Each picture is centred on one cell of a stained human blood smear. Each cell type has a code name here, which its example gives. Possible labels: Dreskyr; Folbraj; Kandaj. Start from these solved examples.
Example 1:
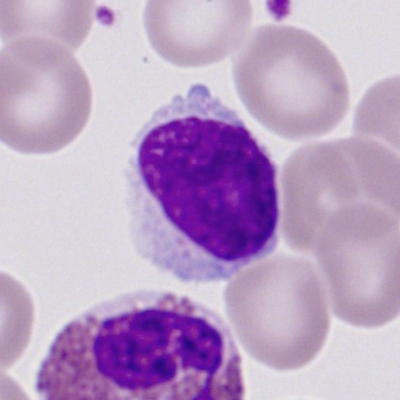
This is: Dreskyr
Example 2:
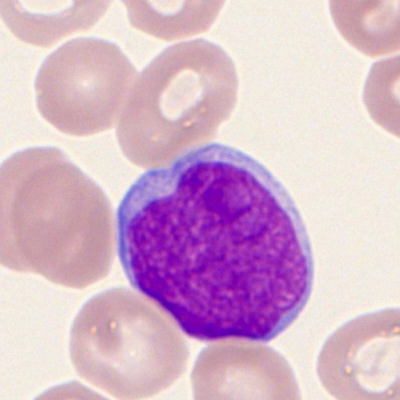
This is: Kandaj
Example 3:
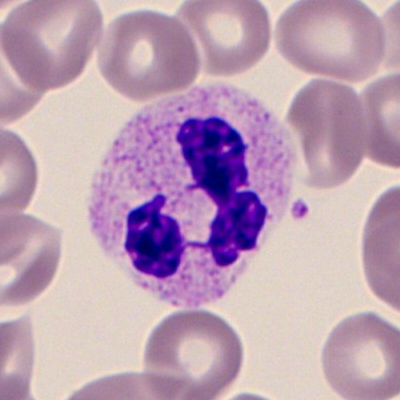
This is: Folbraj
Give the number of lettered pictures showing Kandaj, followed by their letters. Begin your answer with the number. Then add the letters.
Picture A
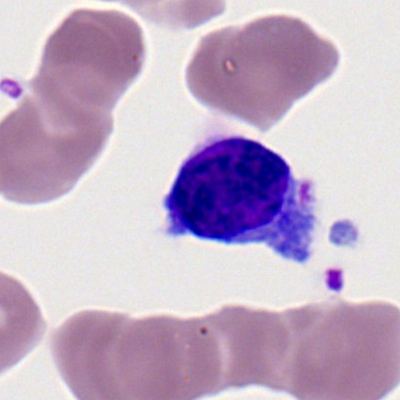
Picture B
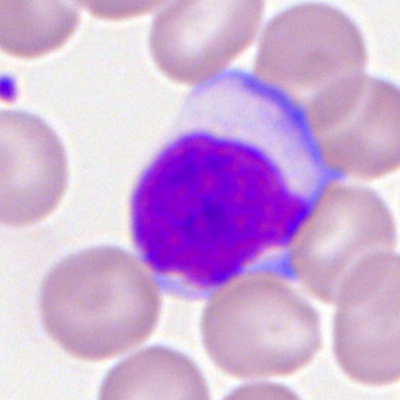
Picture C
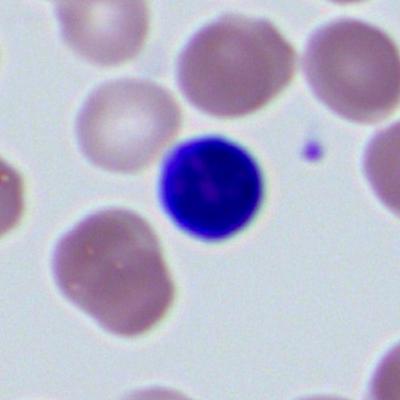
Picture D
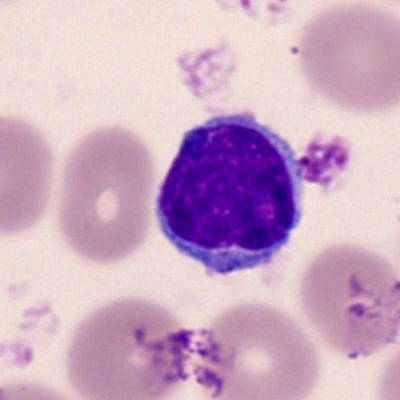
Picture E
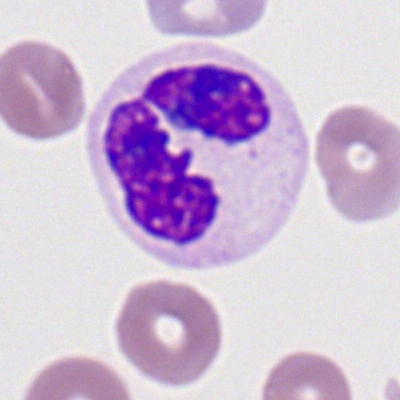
0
